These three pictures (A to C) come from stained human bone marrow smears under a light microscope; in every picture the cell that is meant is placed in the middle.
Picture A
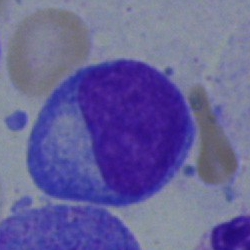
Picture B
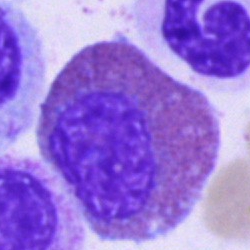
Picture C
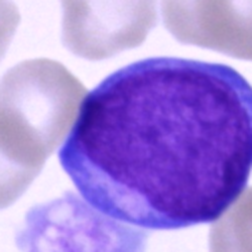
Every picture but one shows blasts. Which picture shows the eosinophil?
B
